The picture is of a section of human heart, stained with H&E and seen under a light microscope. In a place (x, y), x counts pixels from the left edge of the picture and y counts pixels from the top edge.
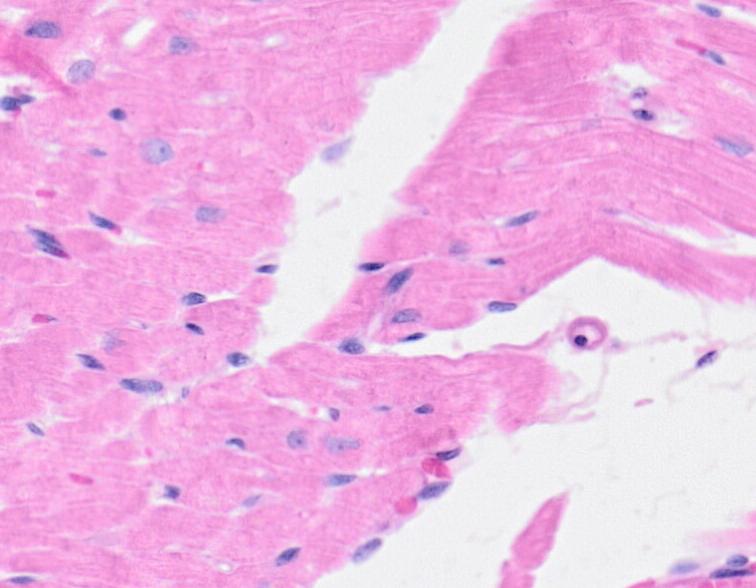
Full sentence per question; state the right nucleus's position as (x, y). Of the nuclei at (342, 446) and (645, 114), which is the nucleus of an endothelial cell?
The one nucleus of the two that belongs to an endothelial cell is at (645, 114).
